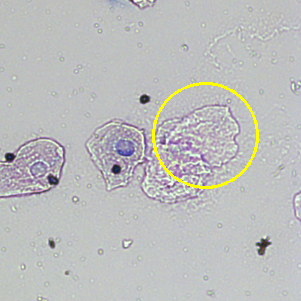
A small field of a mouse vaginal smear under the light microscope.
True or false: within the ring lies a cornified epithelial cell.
True: a cornified epithelial cell lies within the ring.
